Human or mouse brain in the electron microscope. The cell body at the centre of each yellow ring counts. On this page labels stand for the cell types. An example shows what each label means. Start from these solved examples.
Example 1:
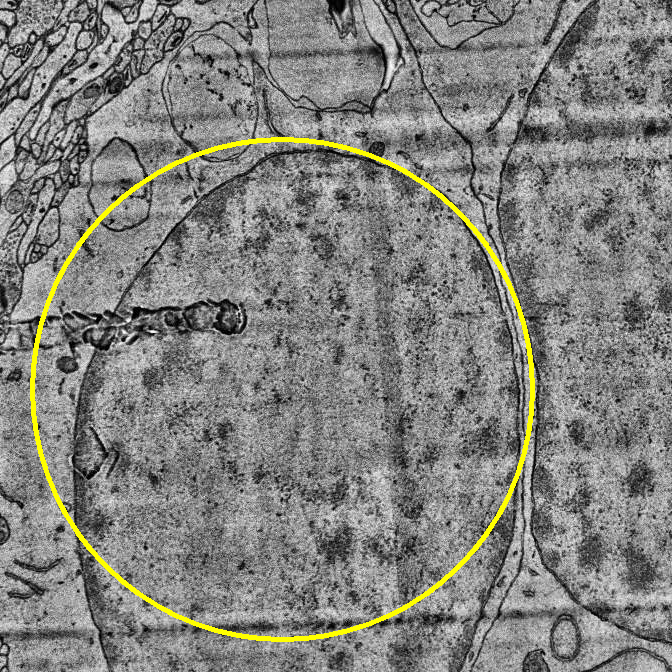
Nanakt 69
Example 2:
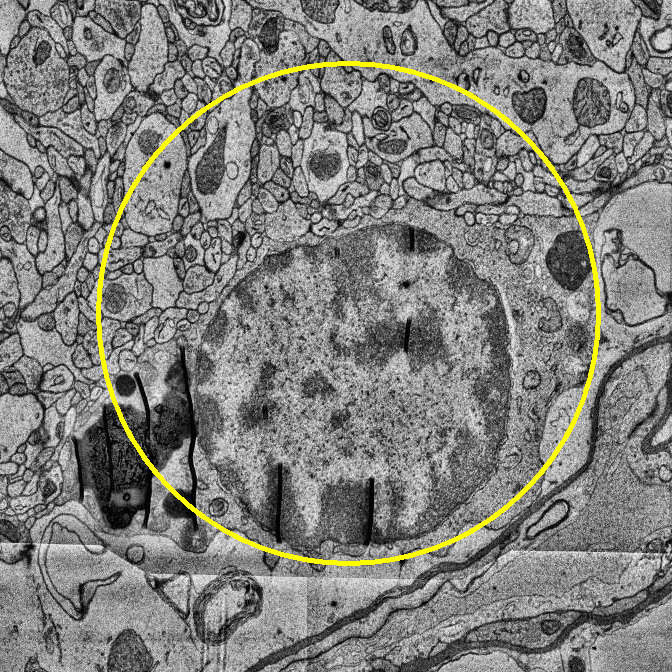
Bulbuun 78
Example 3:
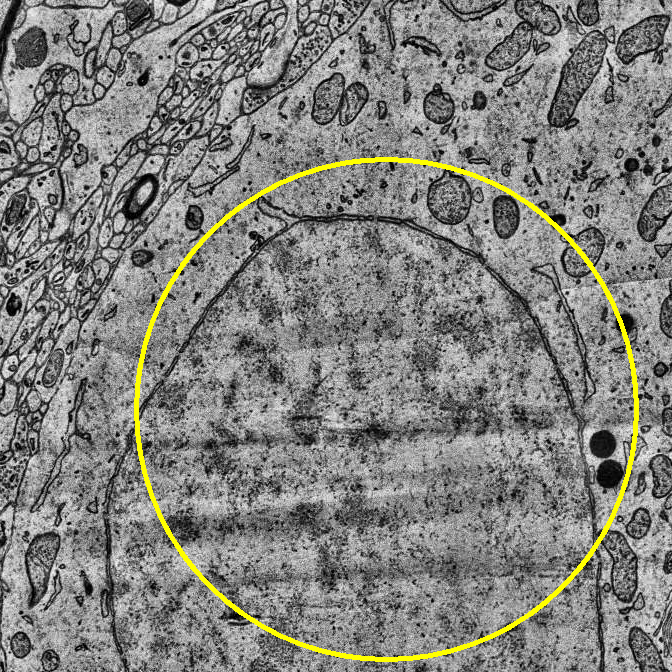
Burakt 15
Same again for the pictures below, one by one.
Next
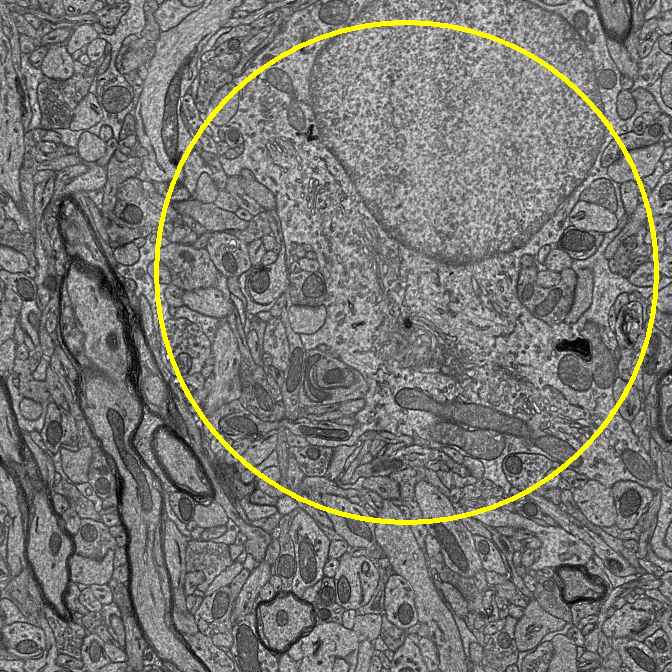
Nanakt 69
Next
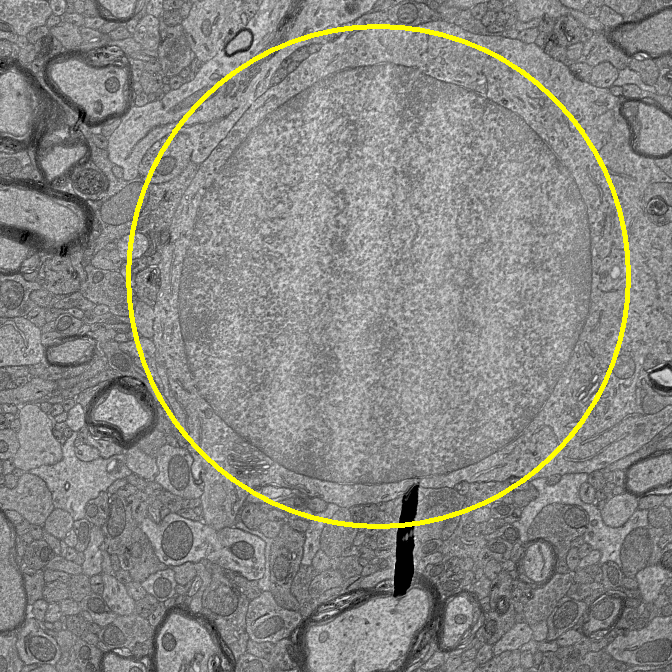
Bulbuun 78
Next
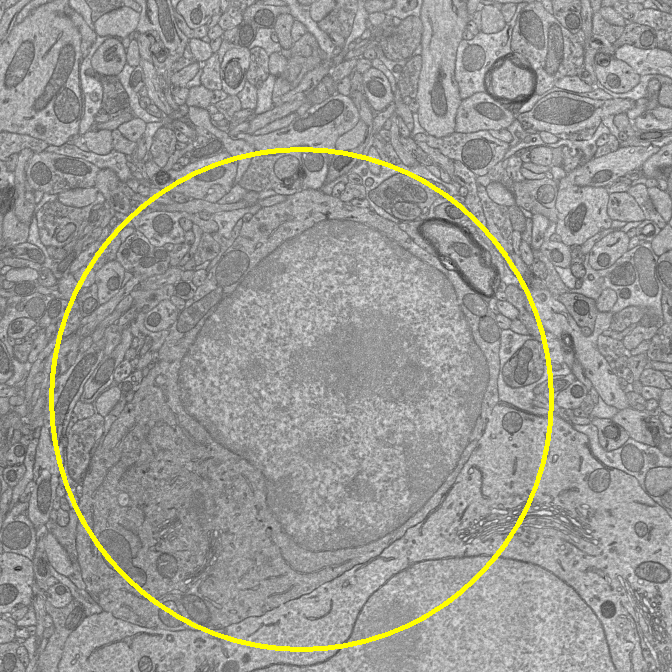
Bulbuun 78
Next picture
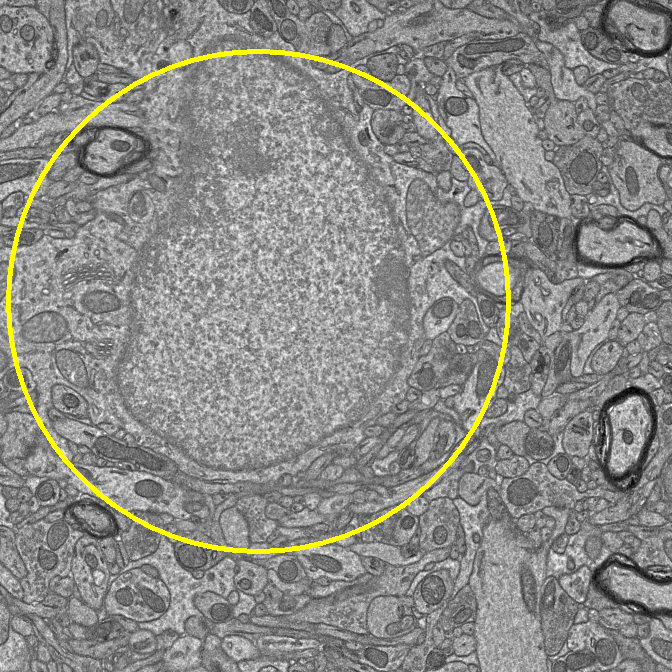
Nanakt 69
